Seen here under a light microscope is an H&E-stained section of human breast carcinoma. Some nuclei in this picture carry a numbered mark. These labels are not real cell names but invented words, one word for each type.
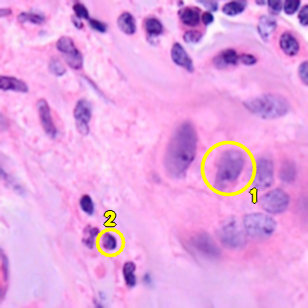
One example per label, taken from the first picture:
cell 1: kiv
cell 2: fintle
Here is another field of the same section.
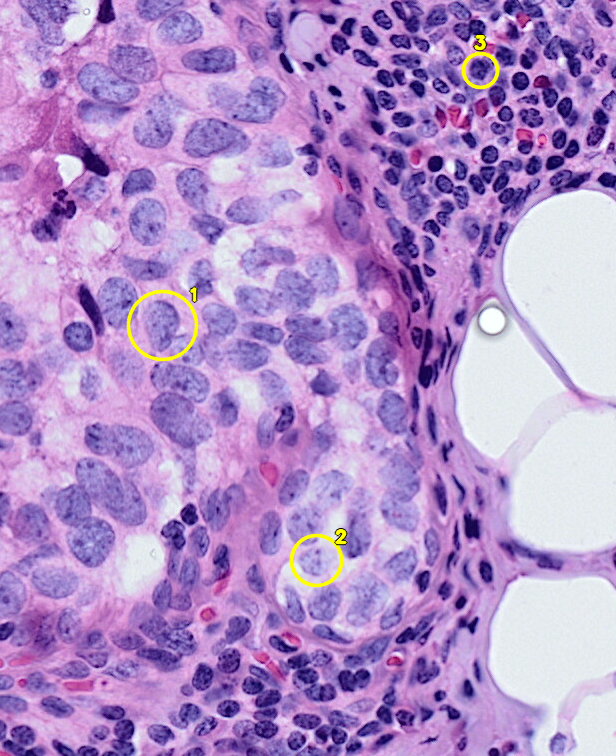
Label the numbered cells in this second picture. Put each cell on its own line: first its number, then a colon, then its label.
1: kiv
2: kiv
3: fintle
